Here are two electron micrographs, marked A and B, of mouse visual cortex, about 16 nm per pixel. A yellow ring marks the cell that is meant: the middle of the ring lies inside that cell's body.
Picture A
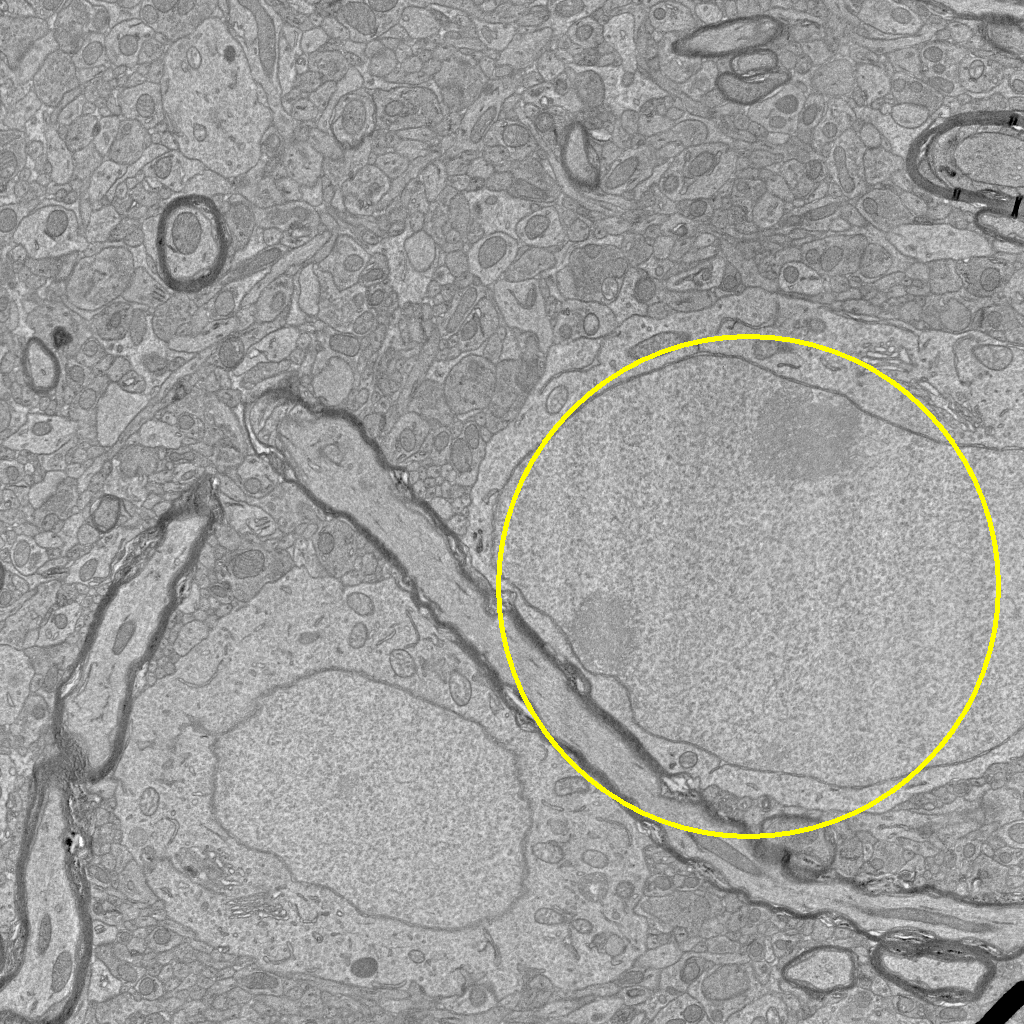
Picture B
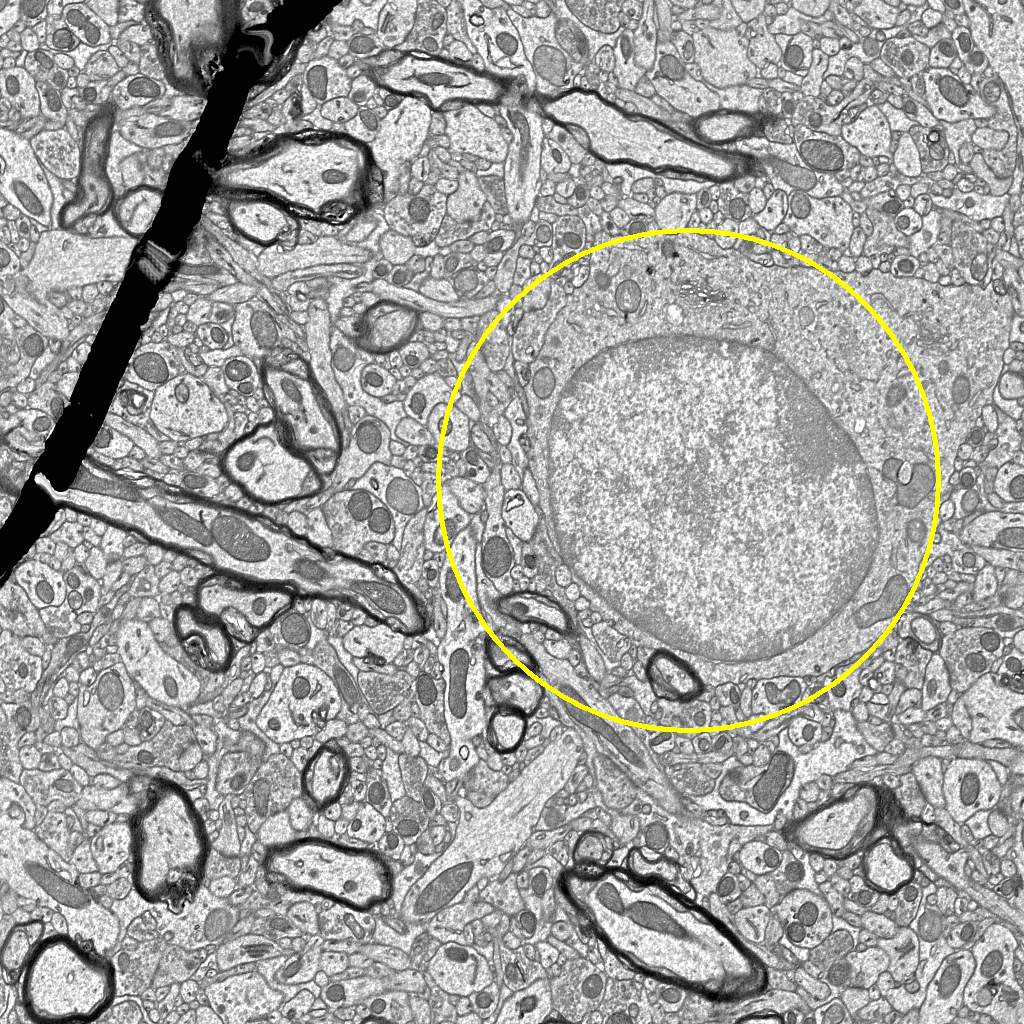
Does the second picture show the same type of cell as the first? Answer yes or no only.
no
